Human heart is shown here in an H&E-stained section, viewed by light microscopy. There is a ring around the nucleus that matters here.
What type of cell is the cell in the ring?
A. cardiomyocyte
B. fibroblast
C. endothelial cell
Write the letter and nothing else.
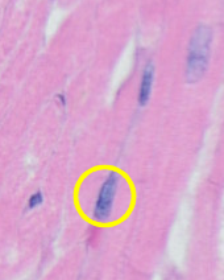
C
